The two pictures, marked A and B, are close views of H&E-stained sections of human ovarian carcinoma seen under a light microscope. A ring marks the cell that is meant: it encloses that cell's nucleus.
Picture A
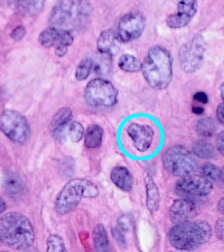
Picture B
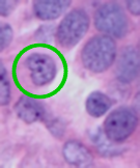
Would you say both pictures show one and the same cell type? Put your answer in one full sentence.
Yes, the two pictures both show “macrophages or monocytes”.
